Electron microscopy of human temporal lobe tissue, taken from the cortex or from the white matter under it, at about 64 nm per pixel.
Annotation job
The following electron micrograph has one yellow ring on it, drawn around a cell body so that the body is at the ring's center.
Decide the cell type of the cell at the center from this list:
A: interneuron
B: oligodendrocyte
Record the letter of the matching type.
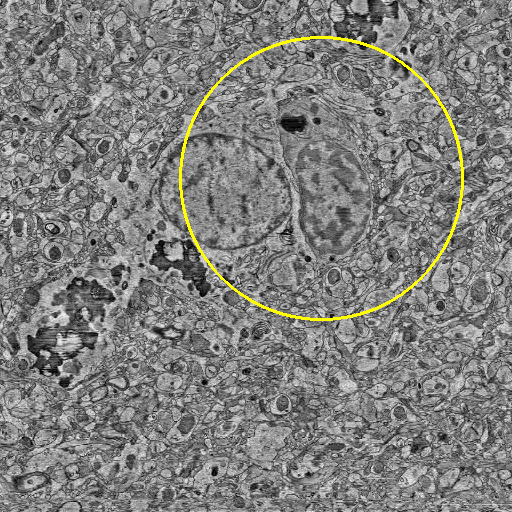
B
